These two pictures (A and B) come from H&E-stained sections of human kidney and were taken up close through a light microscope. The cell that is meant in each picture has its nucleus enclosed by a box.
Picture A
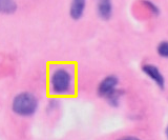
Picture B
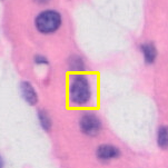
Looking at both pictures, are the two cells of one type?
yes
